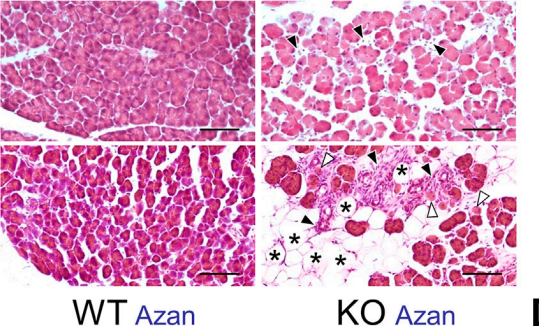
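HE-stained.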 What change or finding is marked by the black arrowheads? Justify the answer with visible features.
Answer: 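The black arrowheads point to spaces between acini. In the lower field, these spaces hold a loose, purple-stained cellular material. The answer: interstitial infiltration.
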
